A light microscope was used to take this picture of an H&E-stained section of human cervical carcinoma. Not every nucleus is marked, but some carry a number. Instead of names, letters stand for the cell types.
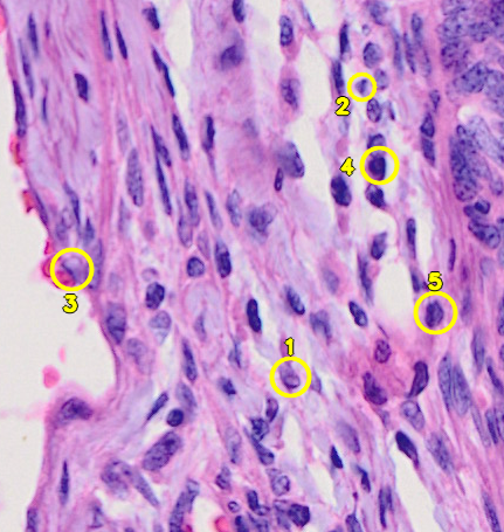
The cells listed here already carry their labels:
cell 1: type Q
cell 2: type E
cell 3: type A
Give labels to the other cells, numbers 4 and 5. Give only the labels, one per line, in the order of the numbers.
type E
type E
